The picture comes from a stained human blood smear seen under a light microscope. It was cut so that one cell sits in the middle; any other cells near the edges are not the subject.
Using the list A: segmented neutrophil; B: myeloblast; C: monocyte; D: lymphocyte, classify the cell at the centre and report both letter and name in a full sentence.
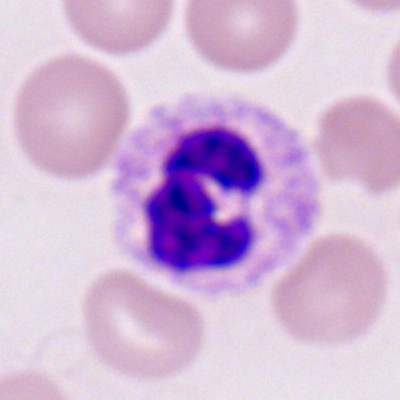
The cell at the centre, correctly named in option A, is a segmented neutrophil.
